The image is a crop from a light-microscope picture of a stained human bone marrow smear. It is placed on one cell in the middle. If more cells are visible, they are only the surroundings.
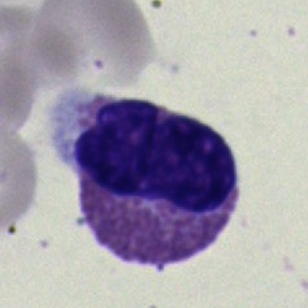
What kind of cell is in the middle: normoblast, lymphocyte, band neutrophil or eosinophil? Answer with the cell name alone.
eosinophil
